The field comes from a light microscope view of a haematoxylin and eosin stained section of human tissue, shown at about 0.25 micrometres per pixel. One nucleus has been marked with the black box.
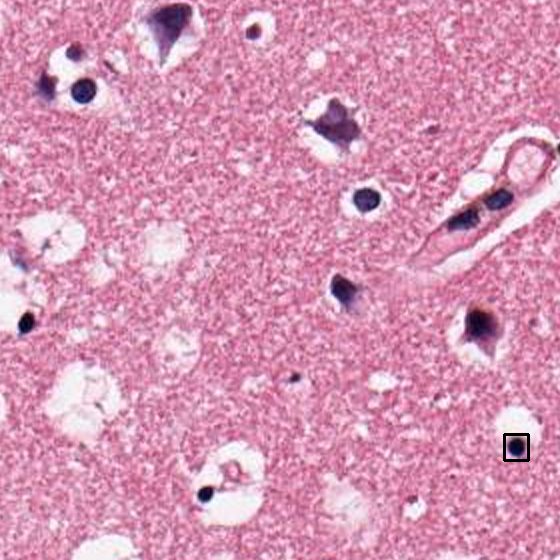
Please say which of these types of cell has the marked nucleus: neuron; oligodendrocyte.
oligodendrocyte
